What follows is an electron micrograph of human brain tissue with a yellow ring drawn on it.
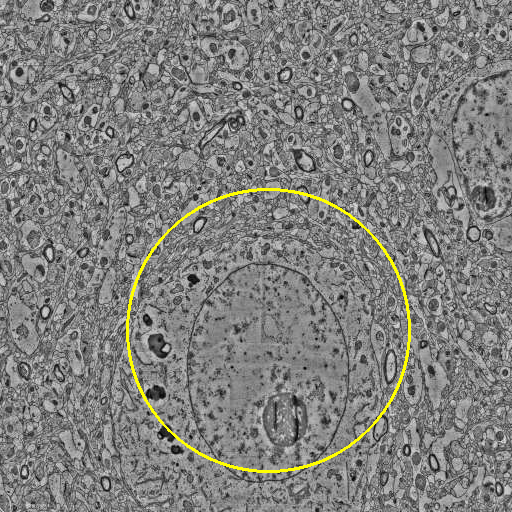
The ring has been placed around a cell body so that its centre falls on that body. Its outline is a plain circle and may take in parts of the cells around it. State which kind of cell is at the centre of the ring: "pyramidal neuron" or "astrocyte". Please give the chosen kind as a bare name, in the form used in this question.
pyramidal neuron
